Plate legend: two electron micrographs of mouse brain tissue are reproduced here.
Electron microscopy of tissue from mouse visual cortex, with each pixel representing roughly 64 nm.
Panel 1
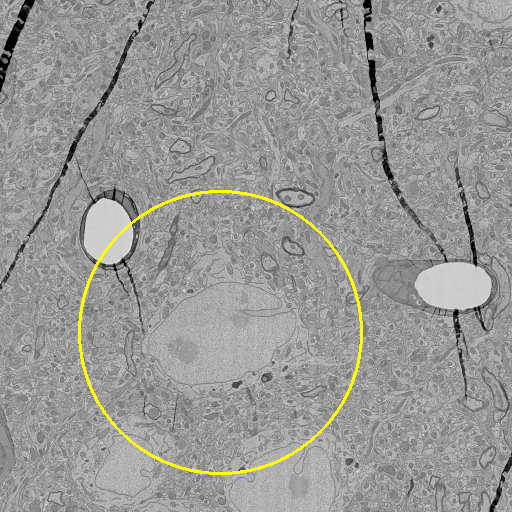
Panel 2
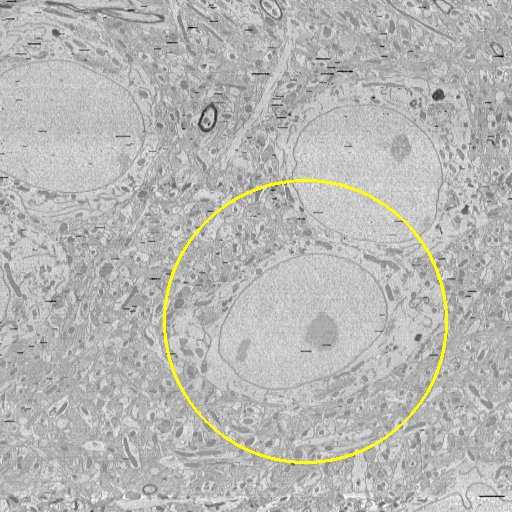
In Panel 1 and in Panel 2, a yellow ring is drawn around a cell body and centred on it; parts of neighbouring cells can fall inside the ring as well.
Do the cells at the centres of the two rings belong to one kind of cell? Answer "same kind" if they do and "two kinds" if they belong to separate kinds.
same kind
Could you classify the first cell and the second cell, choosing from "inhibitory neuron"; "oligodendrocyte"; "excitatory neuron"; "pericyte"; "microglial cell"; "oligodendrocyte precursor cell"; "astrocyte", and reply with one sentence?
In each of the two pictures, the ringed cell is an excitatory neuron.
